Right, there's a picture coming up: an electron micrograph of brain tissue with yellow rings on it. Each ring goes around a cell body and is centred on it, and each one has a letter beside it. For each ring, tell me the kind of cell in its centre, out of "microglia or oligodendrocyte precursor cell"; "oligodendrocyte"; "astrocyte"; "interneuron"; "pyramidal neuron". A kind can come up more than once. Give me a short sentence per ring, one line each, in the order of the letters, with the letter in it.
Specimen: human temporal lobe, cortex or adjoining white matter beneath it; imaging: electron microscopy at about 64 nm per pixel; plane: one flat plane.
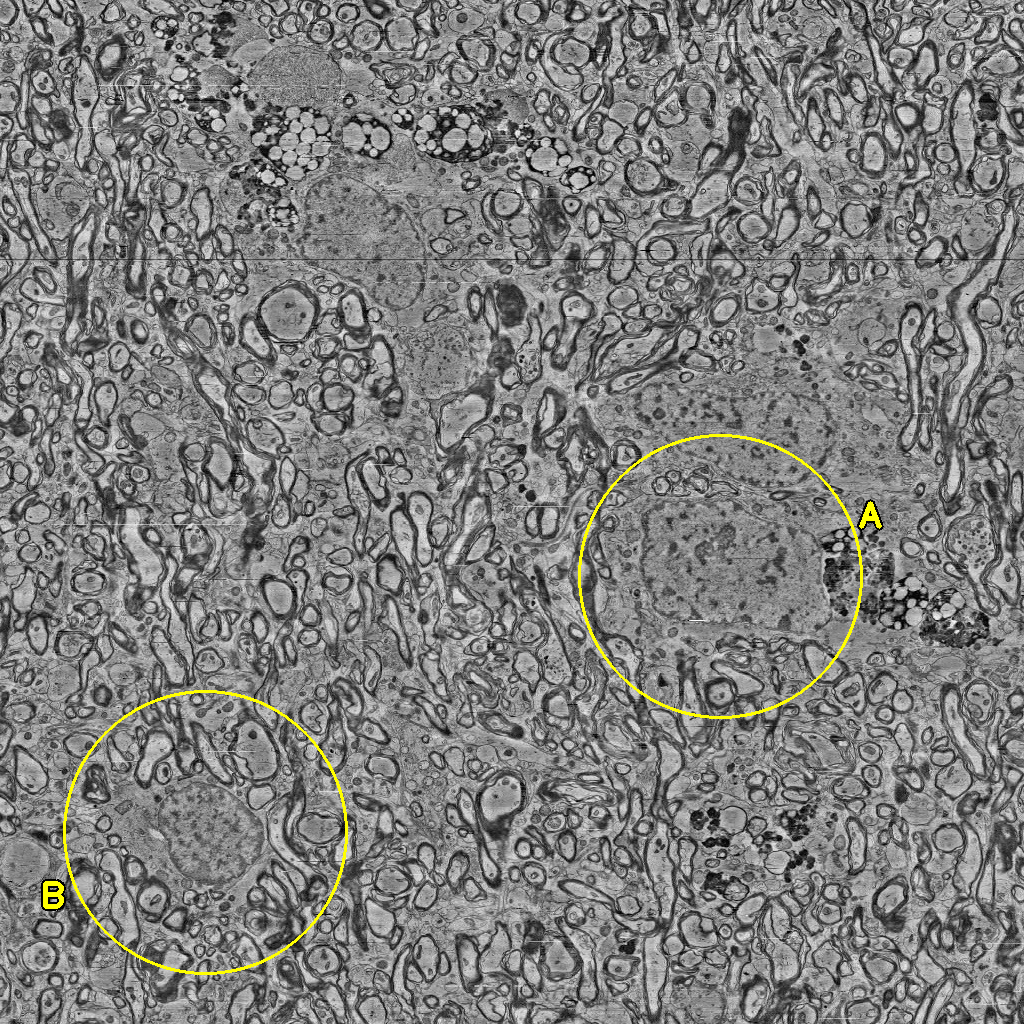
That's an astrocyte in ring A.
That's an oligodendrocyte in ring B.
